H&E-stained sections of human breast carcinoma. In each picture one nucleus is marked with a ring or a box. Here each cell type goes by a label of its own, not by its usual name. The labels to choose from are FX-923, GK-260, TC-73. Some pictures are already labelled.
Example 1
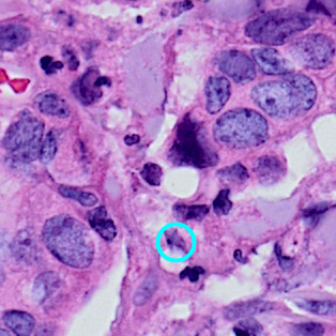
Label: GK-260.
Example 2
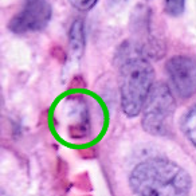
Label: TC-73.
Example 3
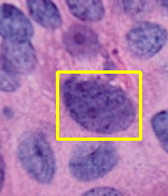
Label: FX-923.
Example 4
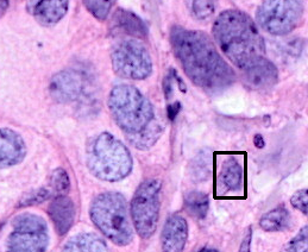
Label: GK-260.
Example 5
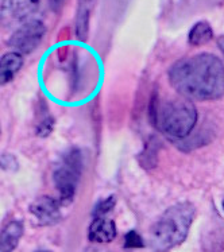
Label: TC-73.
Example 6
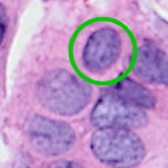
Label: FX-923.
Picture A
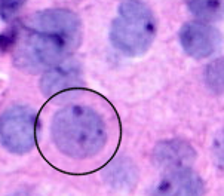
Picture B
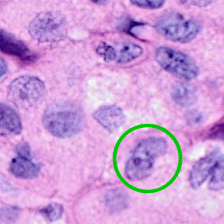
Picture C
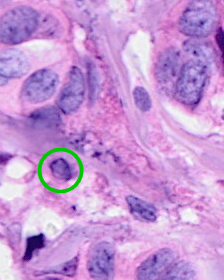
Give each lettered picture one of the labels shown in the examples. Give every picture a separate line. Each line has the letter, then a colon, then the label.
A: FX-923.
B: FX-923.
C: GK-260.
